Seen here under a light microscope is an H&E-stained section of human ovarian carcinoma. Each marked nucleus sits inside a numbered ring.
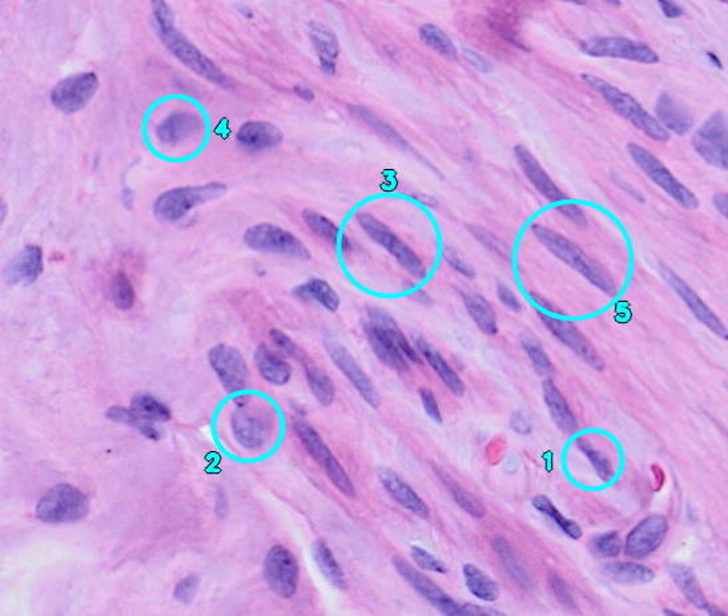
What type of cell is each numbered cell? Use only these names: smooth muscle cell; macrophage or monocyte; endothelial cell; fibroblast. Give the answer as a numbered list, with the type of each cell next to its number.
1. smooth muscle cell
2. fibroblast
3. smooth muscle cell
4. fibroblast
5. smooth muscle cell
